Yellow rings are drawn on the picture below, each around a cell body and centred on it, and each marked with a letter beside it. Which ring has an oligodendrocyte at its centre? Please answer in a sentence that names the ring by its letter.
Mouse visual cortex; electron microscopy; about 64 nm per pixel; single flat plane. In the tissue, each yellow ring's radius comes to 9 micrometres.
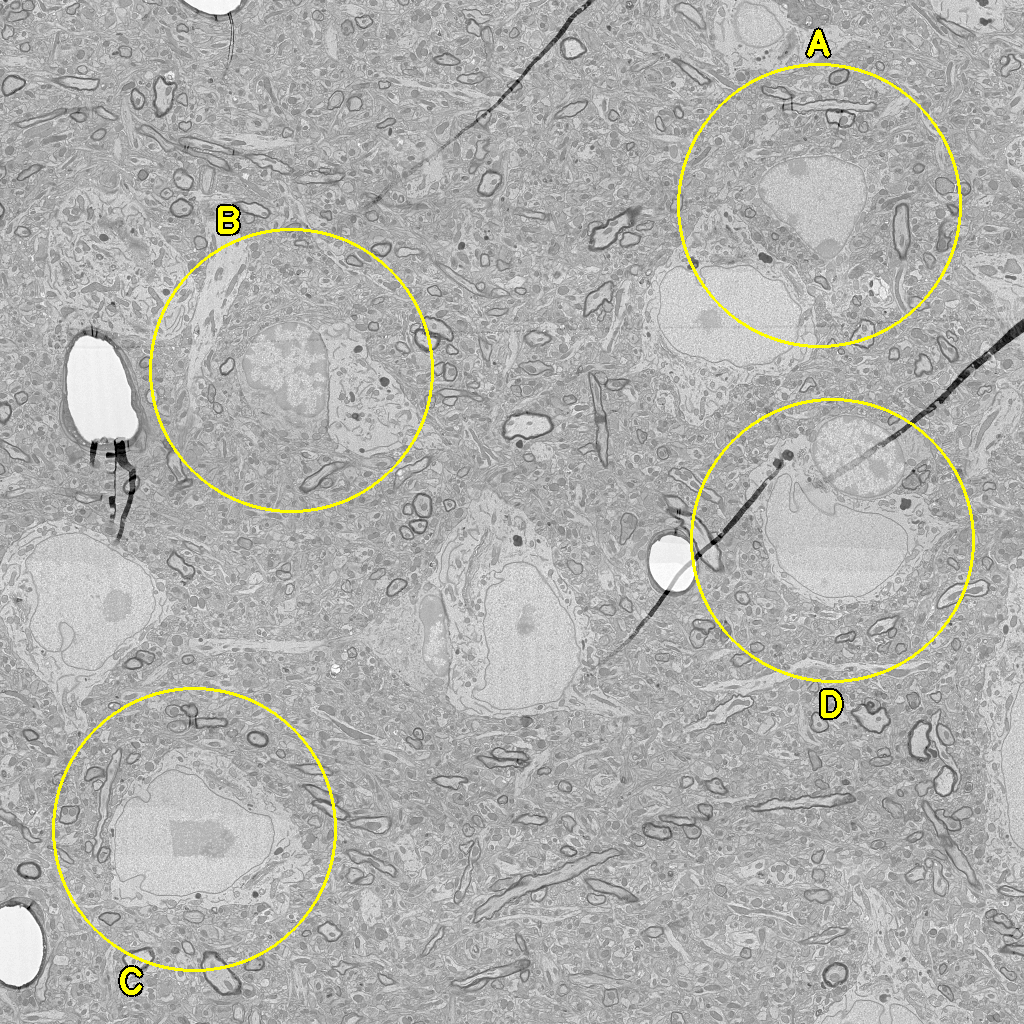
That is ring B.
